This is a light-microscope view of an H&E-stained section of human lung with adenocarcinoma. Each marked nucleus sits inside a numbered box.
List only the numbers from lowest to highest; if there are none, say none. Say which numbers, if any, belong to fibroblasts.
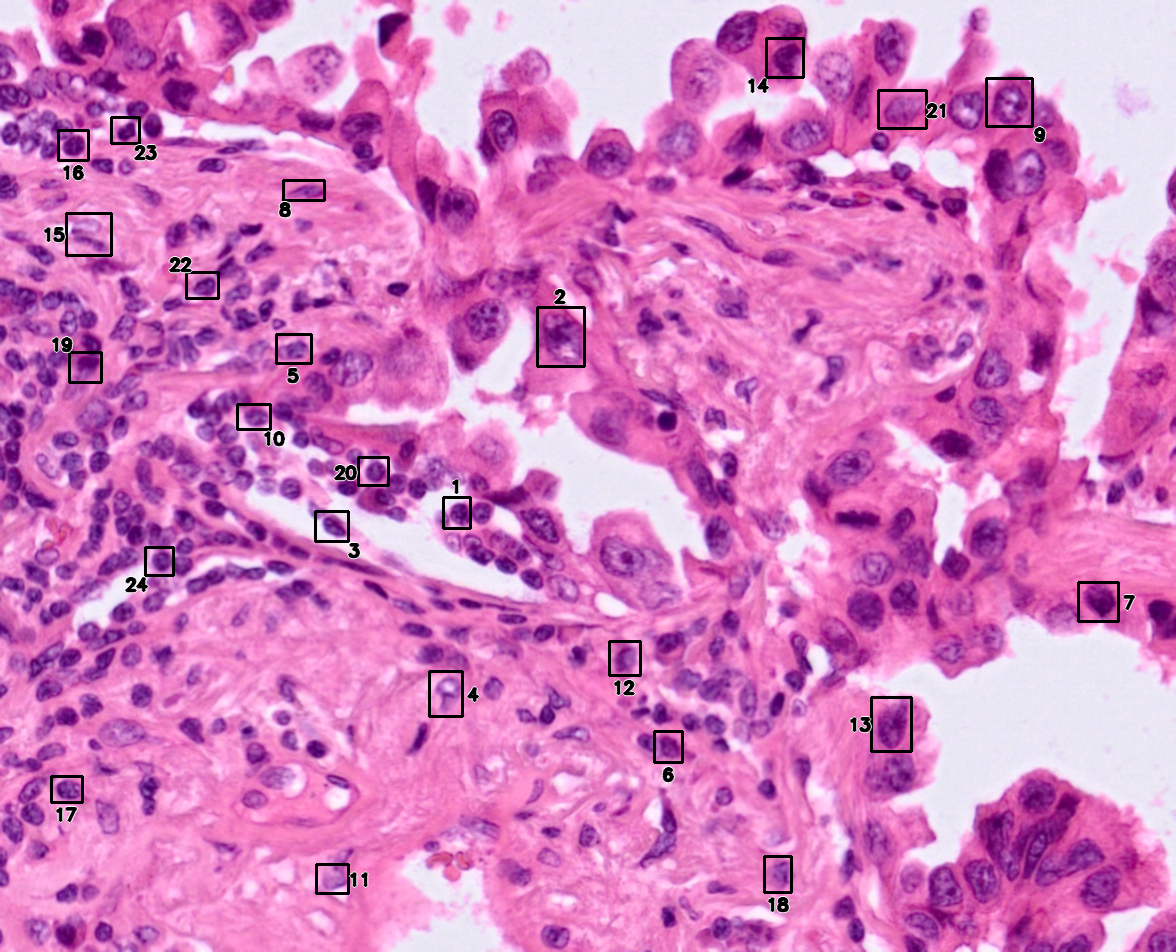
4, 11, 15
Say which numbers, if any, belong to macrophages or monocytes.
18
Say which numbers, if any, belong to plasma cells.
6, 12, 19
